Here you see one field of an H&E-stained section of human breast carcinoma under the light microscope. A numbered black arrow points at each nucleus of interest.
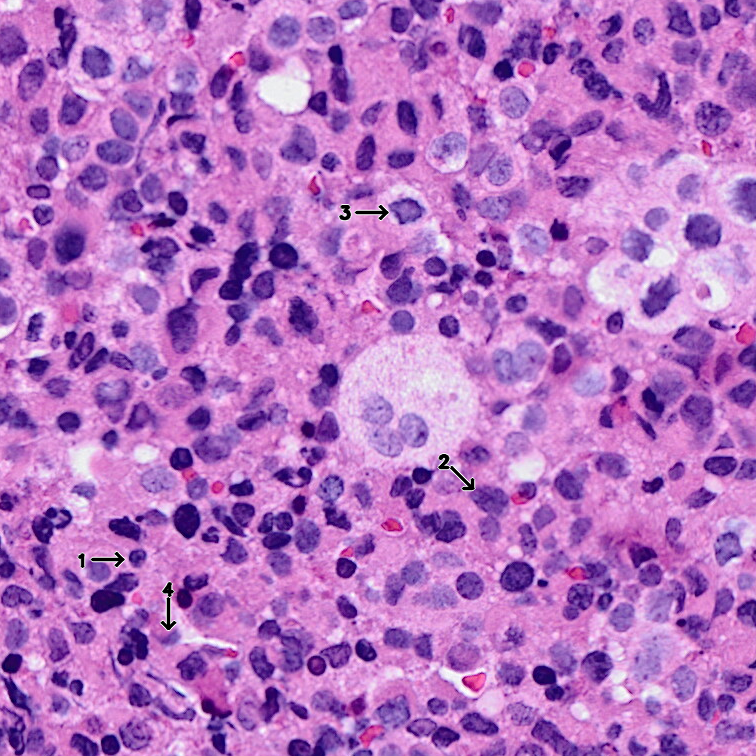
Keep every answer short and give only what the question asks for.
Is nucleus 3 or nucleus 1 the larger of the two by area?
3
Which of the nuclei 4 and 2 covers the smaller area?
4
